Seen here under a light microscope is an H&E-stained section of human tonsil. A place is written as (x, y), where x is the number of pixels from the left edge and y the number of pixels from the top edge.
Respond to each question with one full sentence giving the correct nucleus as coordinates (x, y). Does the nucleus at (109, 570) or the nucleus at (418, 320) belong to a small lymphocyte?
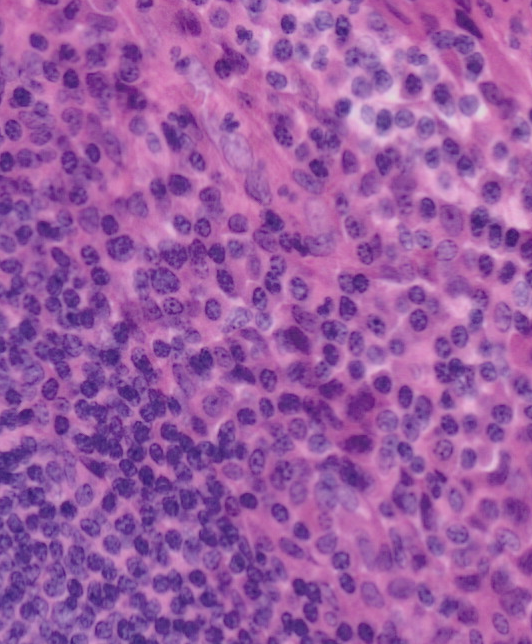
The one nucleus of the two that belongs to a small lymphocyte is at (109, 570).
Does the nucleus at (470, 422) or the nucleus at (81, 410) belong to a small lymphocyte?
It is at (81, 410) that the nucleus of a small lymphocyte is found.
